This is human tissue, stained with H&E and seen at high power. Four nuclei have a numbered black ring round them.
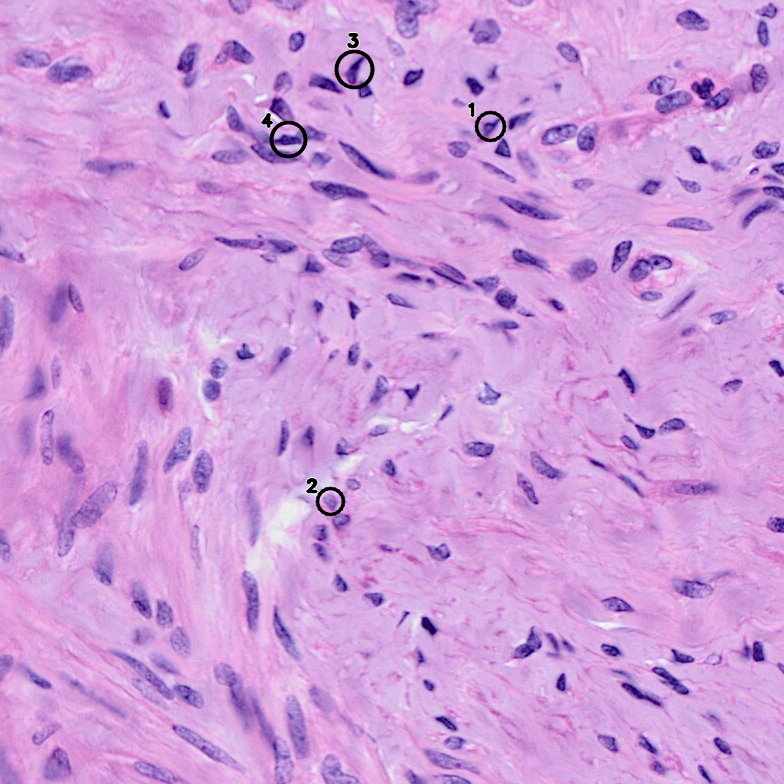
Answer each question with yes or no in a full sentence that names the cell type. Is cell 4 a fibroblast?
Yes, the cell referred to as number 4 is a fibroblast.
